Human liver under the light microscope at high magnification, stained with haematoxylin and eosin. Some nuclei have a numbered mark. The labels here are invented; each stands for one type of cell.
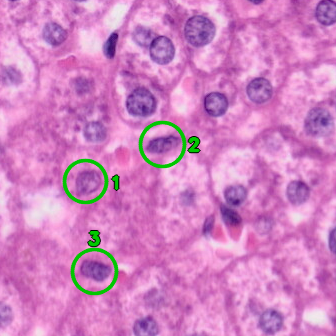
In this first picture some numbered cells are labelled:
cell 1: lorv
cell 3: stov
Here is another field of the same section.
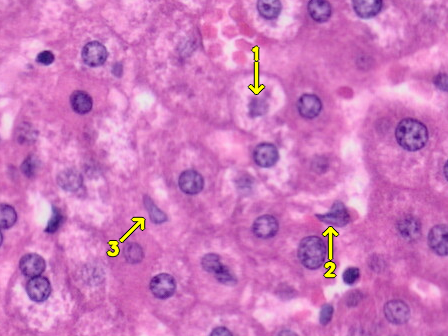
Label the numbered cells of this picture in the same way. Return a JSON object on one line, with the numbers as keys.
{"1": "lorv", "2": "stov", "3": "stov"}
